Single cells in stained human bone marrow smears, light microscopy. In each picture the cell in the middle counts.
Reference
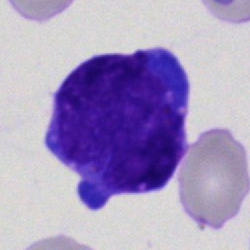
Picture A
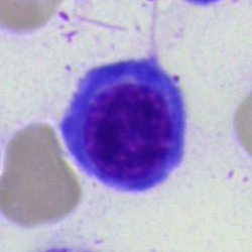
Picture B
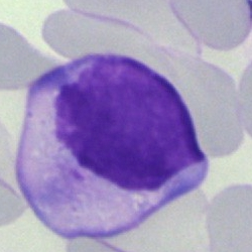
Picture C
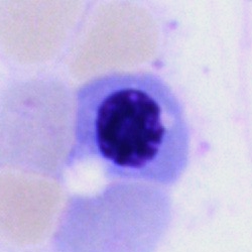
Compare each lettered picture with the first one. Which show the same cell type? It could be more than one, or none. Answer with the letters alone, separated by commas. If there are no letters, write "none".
B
